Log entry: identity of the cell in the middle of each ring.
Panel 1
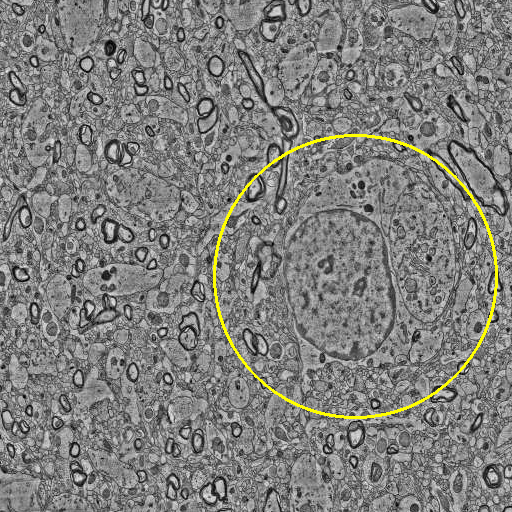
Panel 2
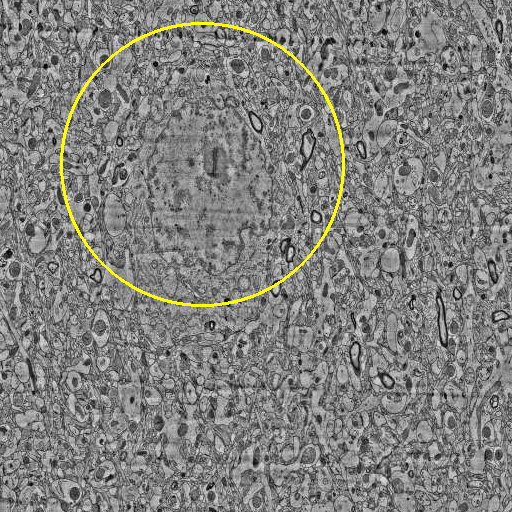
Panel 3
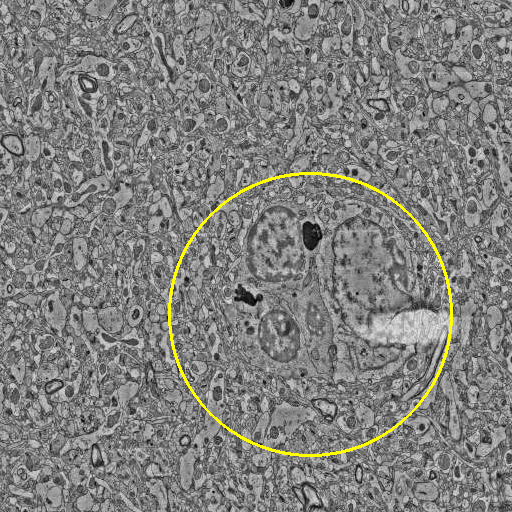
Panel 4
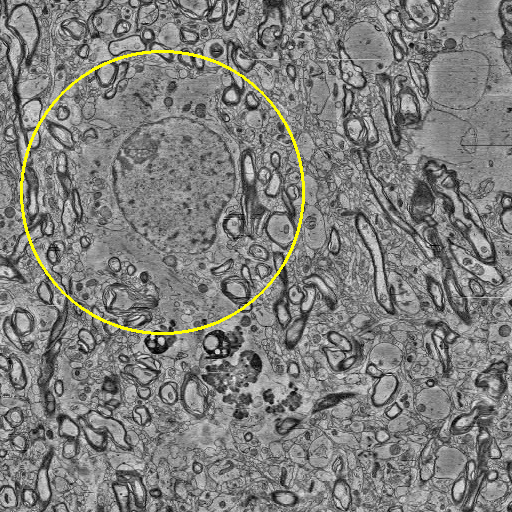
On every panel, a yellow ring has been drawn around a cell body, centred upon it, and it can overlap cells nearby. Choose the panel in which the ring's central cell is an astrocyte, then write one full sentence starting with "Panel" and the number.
Panel 4 shows the requested cell sitting in the middle of its ring.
